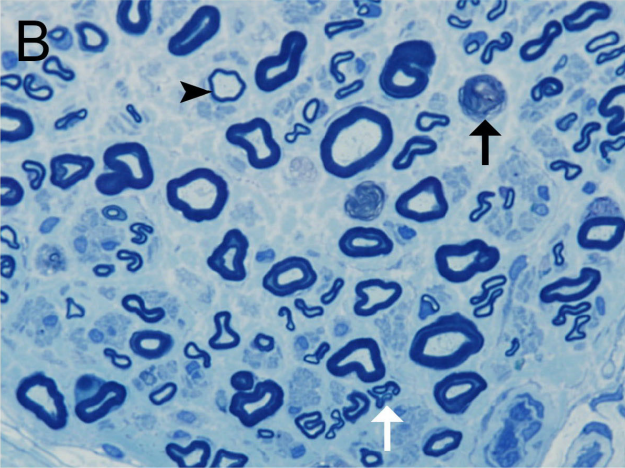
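Transverse semithin section of a peripheral nerve fascicle showing myelinated nerve fibers of mixed calibre. Myelin forms dark blue rings around pale axons; many rings are irregular or crenated in outline. Large fibers with thick myelin lie among many small fibers. One large axon bears a disproportionately thin myelin ring. Small fibers with thin myelin gather in tight clusters. A few rounded profiles are filled with dark fragmented myelin debris instead of an intact ring. The pale endoneurial background contains finely granular groups of small unmyelinated axons and scattered nuclei.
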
